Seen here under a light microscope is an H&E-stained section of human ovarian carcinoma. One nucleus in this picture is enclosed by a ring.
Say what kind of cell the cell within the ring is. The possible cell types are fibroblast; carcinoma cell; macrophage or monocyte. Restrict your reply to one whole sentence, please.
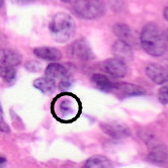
In short, the cell within the ring on this section is a macrophage or monocyte.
